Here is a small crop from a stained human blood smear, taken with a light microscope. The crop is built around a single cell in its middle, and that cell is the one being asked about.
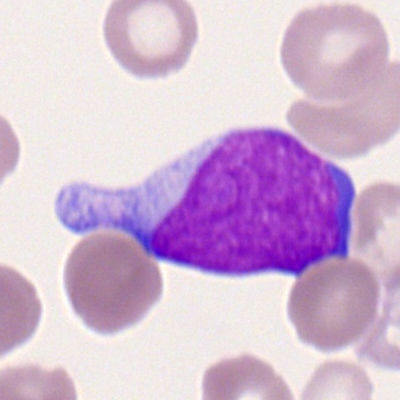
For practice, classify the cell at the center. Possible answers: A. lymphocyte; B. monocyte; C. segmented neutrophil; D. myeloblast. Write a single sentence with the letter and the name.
What sits in the middle of the crop is a myeloblast, and option D is correct.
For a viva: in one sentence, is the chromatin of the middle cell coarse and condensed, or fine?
The chromatin is fine; coarse clumps are not a feature here.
